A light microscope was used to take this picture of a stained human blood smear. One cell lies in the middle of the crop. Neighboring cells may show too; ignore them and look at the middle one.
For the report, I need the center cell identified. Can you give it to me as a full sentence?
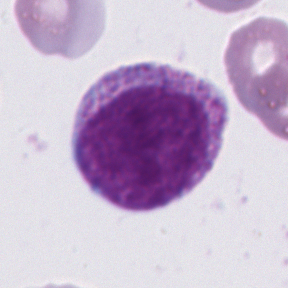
Of the cells in this crop, the central one is a myelocyte.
